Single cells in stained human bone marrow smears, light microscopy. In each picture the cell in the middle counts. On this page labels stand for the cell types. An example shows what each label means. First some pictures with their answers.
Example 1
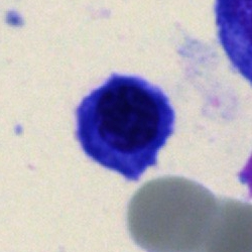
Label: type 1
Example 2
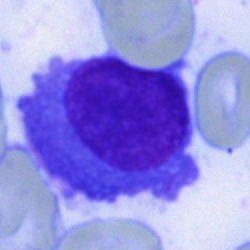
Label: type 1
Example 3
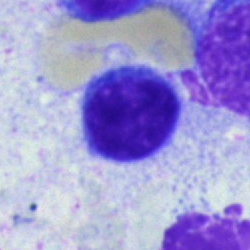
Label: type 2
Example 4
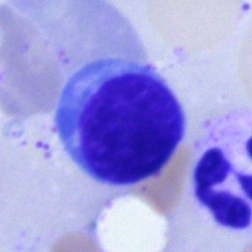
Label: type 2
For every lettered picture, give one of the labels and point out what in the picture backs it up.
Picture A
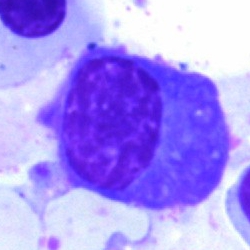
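Answer: type 1. A broad band of cytoplasm lies mainly on the right side of the nucleus.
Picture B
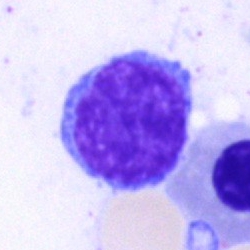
Answer: type 2. The cytoplasm forms a thin rim that is widest on the left side.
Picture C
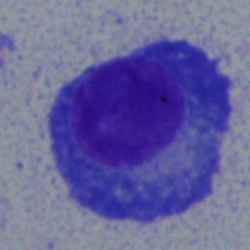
Answer: type 1. The cytoplasm is abundant and stains deep blue.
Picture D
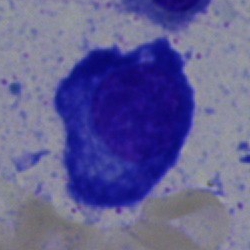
Answer: type 1. The cytoplasm is abundant, forming a broad band to the left of and below the nucleus.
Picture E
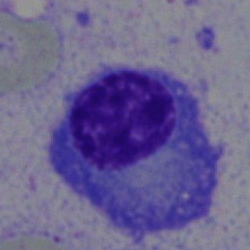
Answer: type 1. The cytoplasm is abundant, forming a broad area below and to the right of the nucleus.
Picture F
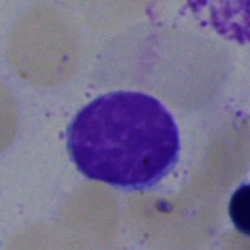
Answer: type 2. The nucleus fills almost the whole cell, leaving only a very thin rim of cytoplasm.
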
